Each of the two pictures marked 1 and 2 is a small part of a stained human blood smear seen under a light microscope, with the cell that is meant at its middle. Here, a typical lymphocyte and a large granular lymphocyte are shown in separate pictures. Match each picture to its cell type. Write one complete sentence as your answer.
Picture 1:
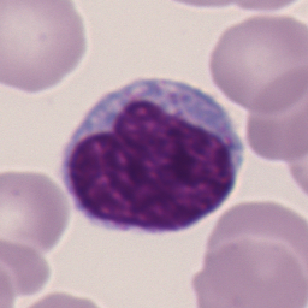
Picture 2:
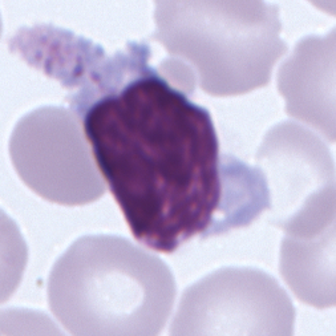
Picture 2 shows a large granular lymphocyte, while picture 1 shows a typical lymphocyte.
